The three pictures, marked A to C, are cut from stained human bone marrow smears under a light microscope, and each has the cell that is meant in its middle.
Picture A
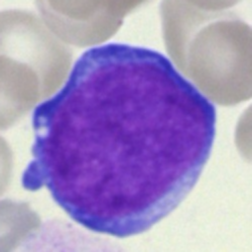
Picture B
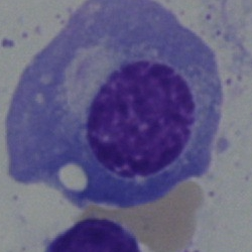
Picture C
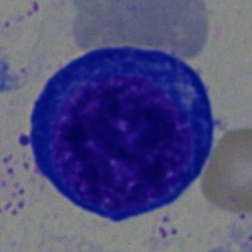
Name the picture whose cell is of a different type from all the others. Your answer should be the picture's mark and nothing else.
B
